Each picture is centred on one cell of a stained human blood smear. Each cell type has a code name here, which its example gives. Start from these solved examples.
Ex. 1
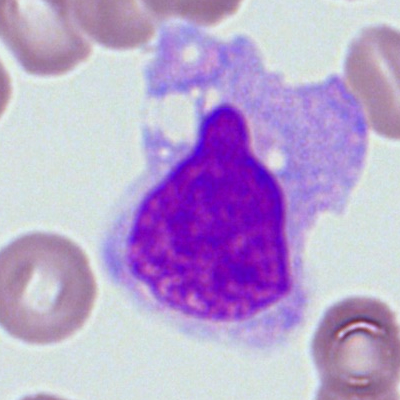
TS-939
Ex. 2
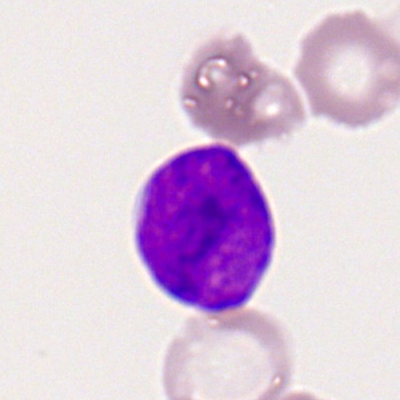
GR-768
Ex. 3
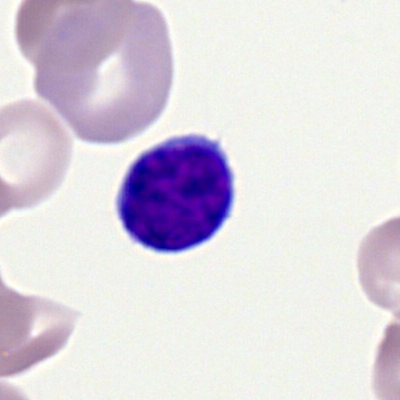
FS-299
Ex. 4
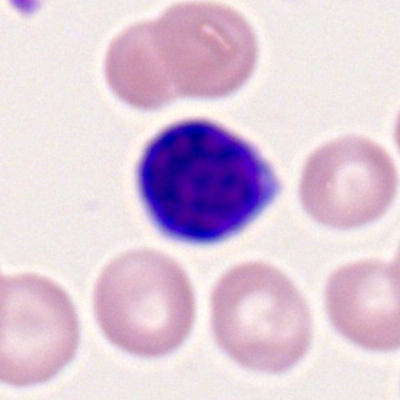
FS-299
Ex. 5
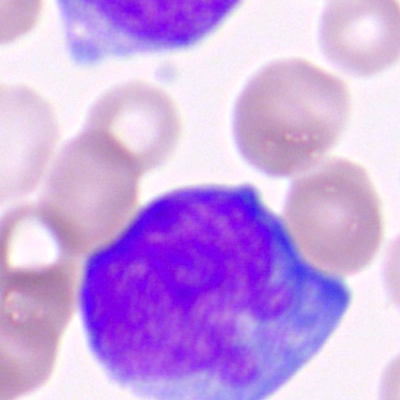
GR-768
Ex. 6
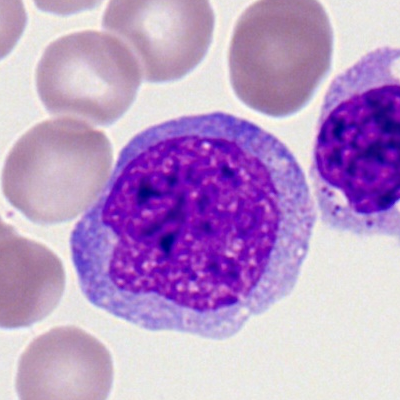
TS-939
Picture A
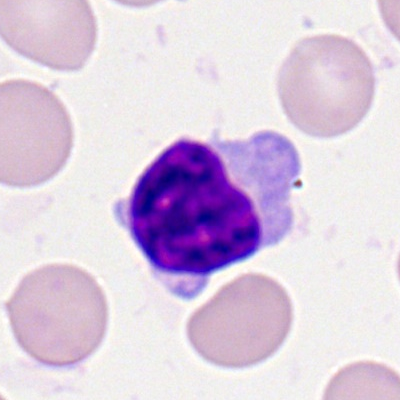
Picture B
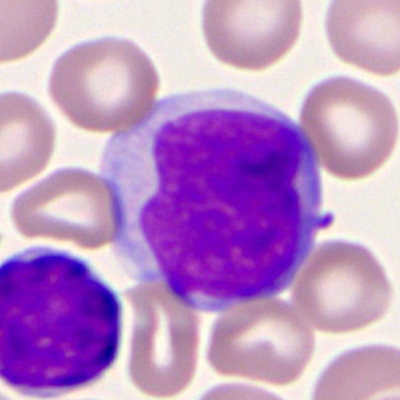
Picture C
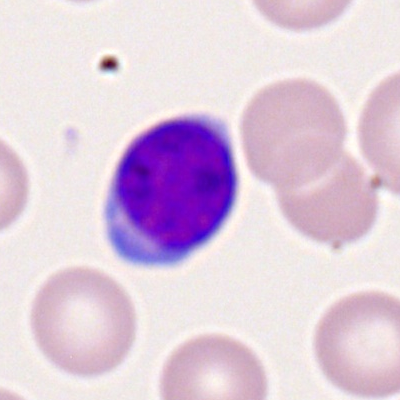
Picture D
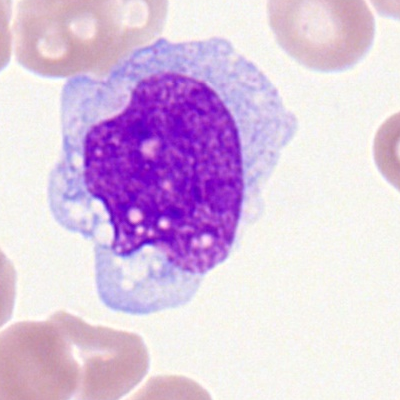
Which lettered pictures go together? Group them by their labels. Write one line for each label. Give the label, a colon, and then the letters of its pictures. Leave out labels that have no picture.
TS-939: D
GR-768: B
FS-299: A, C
